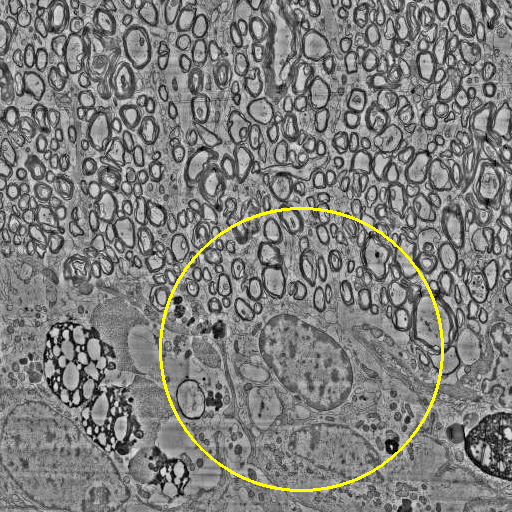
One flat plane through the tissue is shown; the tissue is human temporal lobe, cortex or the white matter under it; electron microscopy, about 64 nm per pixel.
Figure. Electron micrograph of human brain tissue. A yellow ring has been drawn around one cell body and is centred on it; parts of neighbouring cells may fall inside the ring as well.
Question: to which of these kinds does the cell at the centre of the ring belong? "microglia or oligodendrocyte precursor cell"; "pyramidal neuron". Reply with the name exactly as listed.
microglia or oligodendrocyte precursor cell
